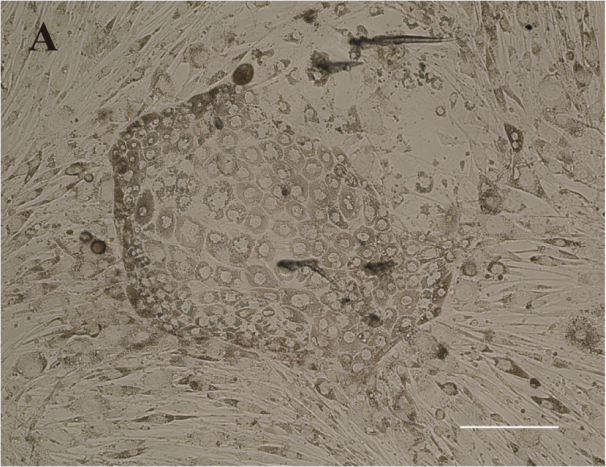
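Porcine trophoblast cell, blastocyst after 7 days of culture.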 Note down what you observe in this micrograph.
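The outgrowth forms a roughly oval, sharply bordered patch of large polygonal cells lying side by side like paving stones. Each cell shows a rounded pale central area with a darker rim of cytoplasm around it. Around the patch lie many slender, spindle-shaped cells running in swirling streams, quite unlike the compact cells of the outgrowth. A few dark rounded bodies and debris lie scattered on and around the patch.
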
